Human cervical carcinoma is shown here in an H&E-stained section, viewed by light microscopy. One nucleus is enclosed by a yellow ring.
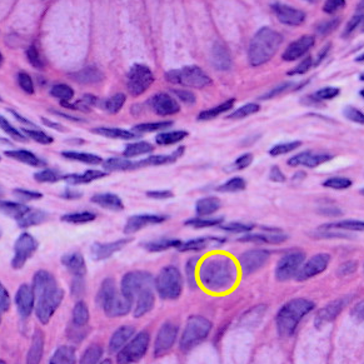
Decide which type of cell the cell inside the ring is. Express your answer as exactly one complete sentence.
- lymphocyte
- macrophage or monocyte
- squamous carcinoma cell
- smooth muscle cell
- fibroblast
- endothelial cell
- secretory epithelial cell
In the tissue at hand, the cell inside the ring is a secretory epithelial cell.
